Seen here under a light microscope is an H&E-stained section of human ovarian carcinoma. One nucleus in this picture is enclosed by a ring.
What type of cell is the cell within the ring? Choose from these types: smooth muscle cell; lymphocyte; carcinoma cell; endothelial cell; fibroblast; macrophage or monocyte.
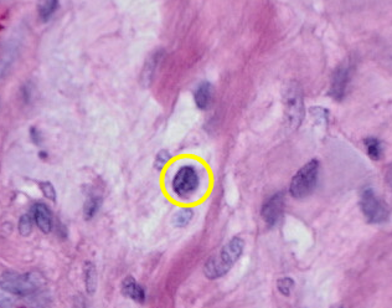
lymphocyte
